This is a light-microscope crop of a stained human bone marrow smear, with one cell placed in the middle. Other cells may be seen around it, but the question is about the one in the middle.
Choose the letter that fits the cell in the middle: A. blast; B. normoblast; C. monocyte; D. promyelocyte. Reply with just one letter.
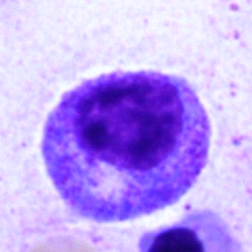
D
